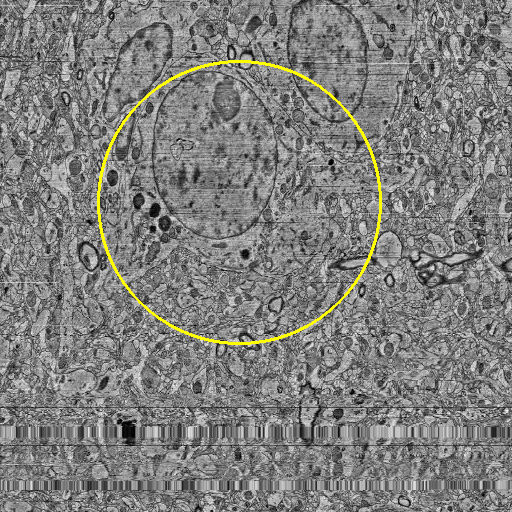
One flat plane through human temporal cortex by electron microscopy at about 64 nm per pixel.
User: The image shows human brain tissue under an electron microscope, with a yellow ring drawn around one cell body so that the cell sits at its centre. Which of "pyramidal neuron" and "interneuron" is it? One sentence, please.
At the centre of the ring sits a pyramidal neuron.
